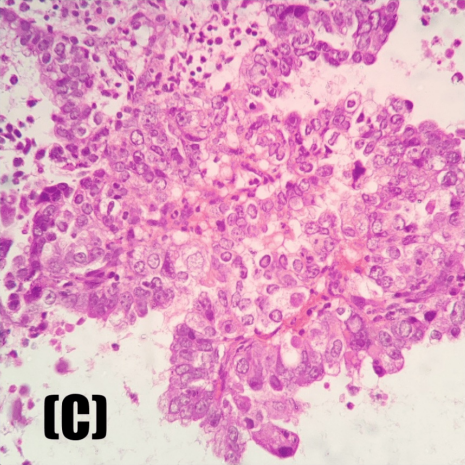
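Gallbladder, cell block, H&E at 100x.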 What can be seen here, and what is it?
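This section shows sheets and fragments of malignant epithelial cells stained pink and purple. The cells are arranged in crowded groups that form gland-like spaces and finger-like papillary projections. Their nuclei are enlarged, oval to round, with vesicular chromatin and visible nucleoli. Scattered smaller cells lie loosely at the upper left, apart from the main cohesive fragments.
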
